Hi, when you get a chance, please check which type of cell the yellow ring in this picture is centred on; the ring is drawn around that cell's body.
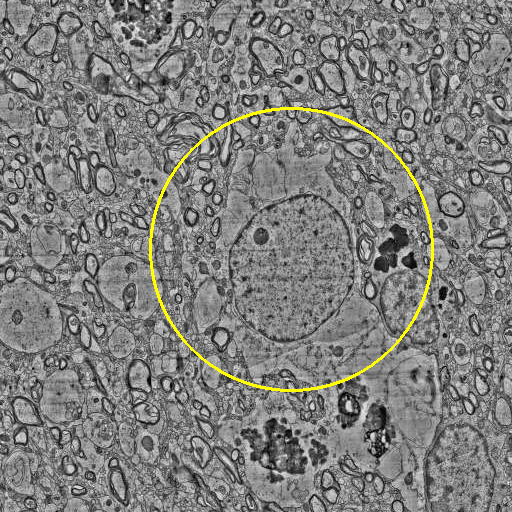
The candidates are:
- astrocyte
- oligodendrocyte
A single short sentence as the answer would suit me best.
The ring is drawn around the body of an astrocyte.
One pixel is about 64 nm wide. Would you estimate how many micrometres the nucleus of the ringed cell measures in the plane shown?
In this plane, the nucleus of the cell at the centre of the ring measures about 10 by 8 micrometres.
